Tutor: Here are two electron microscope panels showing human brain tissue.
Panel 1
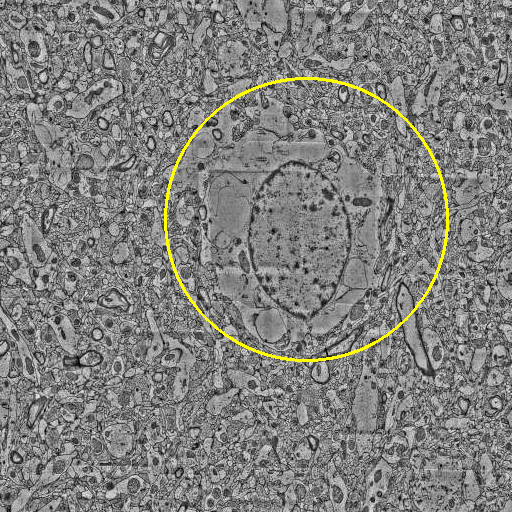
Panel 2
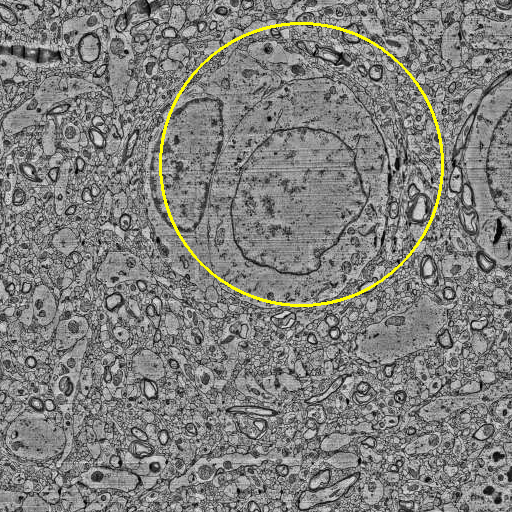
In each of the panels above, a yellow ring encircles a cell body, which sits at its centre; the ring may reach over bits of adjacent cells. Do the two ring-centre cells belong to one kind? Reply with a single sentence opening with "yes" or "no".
No, the two cells sitting at the ring centres in the panels belong to two kinds.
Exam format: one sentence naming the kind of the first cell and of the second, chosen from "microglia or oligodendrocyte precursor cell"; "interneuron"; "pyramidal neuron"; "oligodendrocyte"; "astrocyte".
The first picture's cell is an astrocyte, and the second picture's cell is a pyramidal neuron.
